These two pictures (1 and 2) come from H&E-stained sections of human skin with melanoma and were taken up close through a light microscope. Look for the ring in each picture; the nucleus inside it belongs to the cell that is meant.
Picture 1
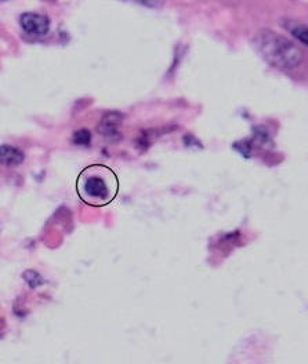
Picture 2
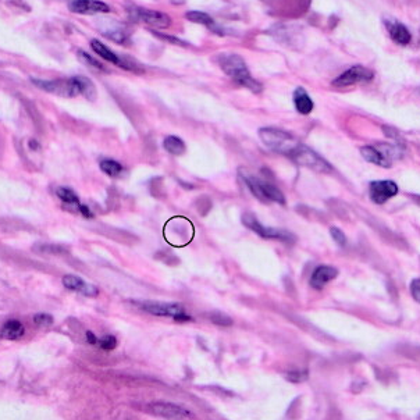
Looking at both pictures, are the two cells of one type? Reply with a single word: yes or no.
no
